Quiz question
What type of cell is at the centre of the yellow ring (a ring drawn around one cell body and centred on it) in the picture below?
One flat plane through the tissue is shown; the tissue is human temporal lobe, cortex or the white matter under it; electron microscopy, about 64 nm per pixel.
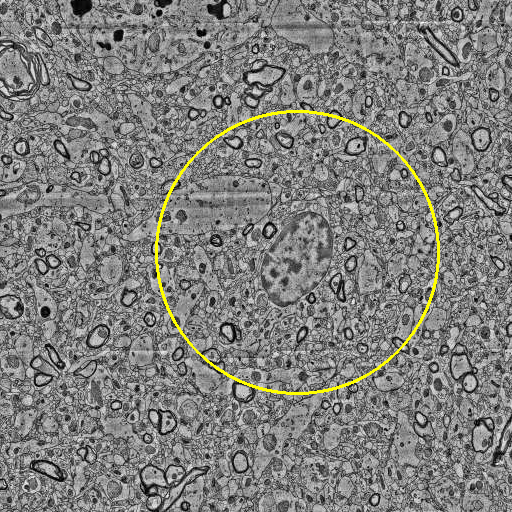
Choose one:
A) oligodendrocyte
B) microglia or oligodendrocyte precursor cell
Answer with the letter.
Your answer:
B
